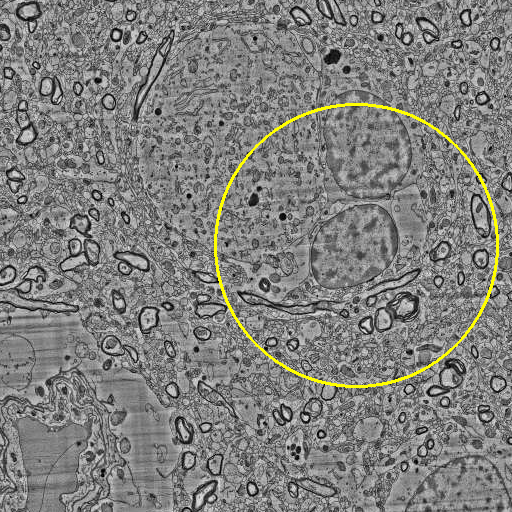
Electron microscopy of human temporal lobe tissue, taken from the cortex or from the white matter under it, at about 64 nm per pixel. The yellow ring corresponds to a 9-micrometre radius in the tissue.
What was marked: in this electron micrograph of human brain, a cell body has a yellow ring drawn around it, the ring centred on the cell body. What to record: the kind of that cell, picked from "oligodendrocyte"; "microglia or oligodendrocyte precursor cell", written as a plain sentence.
The centred cell is a microglial cell or oligodendrocyte precursor cell.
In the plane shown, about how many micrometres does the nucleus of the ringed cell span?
About 6 by 5 micrometers, in this plane.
